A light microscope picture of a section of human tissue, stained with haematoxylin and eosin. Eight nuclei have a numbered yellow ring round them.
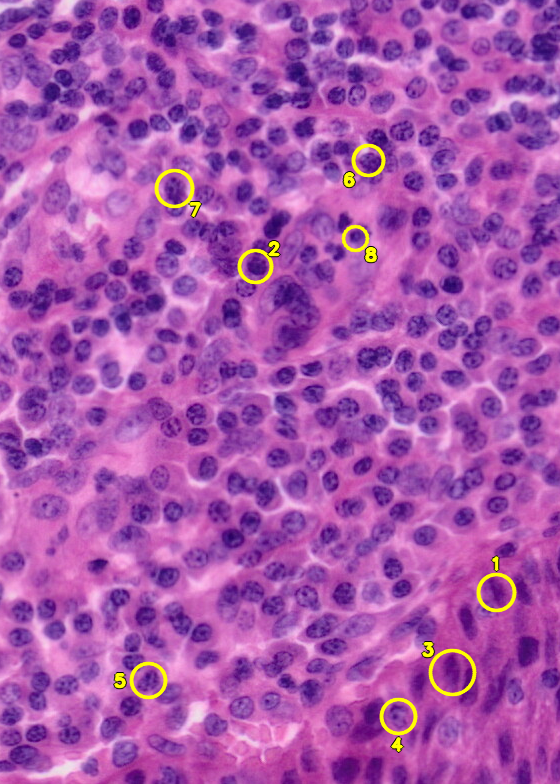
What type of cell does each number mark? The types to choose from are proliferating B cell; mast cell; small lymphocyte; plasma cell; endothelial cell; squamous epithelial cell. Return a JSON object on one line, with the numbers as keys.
{"1": "squamous epithelial cell", "2": "plasma cell", "3": "squamous epithelial cell", "4": "squamous epithelial cell", "5": "plasma cell", "6": "plasma cell", "7": "plasma cell", "8": "endothelial cell"}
